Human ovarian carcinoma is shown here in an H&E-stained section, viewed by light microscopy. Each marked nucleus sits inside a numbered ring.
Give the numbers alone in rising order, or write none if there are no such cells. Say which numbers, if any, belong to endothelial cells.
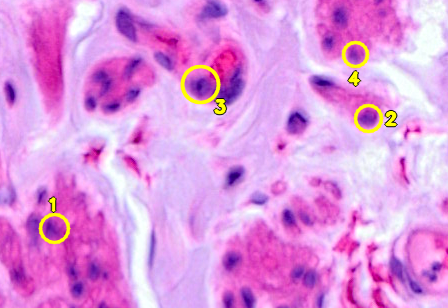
3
